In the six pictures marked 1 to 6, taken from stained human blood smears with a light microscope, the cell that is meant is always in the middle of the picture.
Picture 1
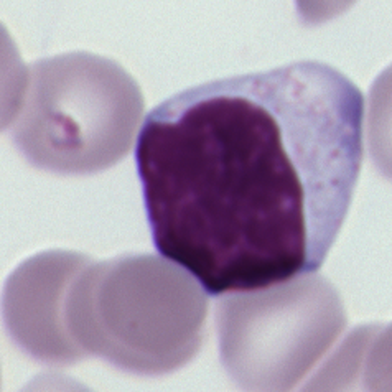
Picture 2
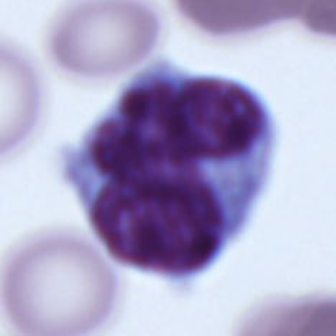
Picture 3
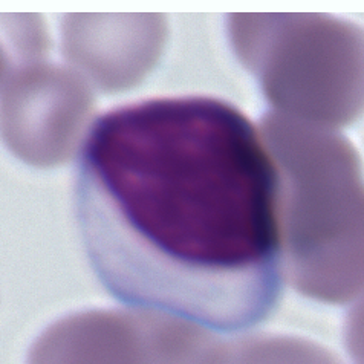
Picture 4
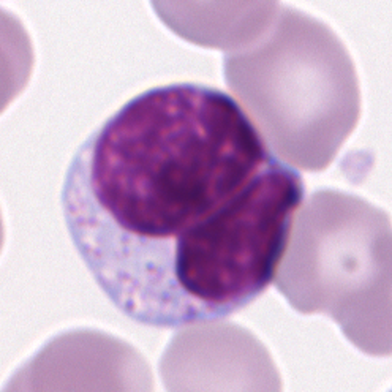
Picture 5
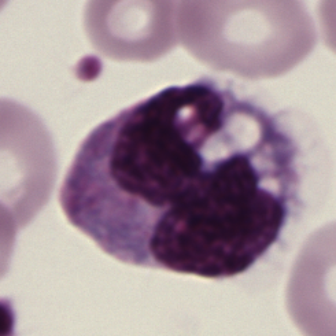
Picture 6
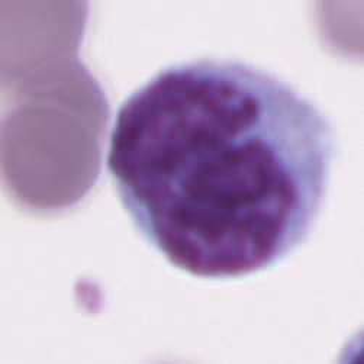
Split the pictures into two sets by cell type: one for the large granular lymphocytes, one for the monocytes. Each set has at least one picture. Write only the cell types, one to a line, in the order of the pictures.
large granular lymphocyte
monocyte
large granular lymphocyte
large granular lymphocyte
monocyte
monocyte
